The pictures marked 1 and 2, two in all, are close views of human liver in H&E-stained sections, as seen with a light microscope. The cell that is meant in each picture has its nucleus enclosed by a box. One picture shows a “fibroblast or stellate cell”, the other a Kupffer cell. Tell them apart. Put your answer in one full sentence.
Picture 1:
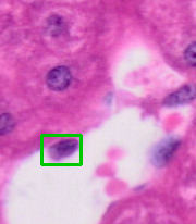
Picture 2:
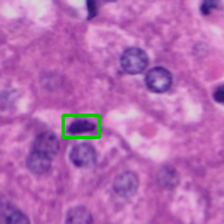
It is picture 1 that shows a Kupffer cell, and picture 2 that shows a “fibroblast or stellate cell”.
